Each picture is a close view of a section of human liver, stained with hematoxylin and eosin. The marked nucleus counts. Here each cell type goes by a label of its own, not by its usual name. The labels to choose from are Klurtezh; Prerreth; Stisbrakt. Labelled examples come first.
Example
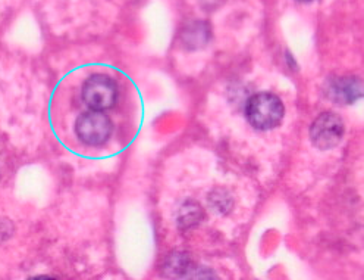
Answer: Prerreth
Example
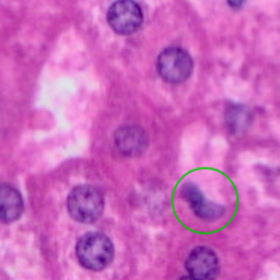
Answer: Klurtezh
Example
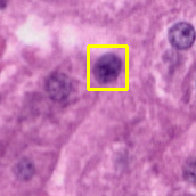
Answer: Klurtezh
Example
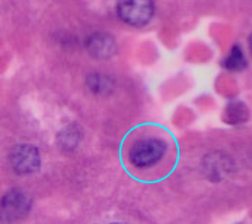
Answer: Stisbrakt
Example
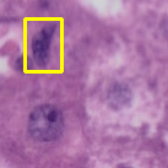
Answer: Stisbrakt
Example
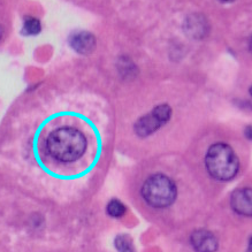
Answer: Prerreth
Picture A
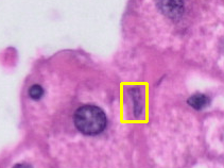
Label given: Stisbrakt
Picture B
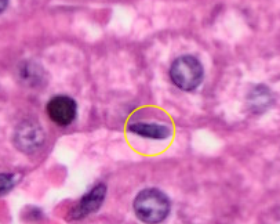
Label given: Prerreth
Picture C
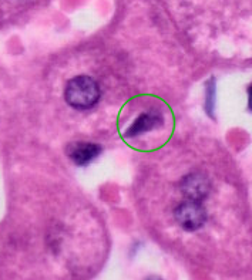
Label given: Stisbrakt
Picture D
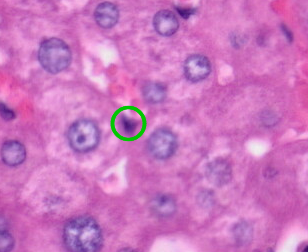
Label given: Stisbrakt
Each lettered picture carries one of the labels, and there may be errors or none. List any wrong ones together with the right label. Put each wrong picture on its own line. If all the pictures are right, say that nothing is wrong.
B: not Prerreth but Klurtezh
